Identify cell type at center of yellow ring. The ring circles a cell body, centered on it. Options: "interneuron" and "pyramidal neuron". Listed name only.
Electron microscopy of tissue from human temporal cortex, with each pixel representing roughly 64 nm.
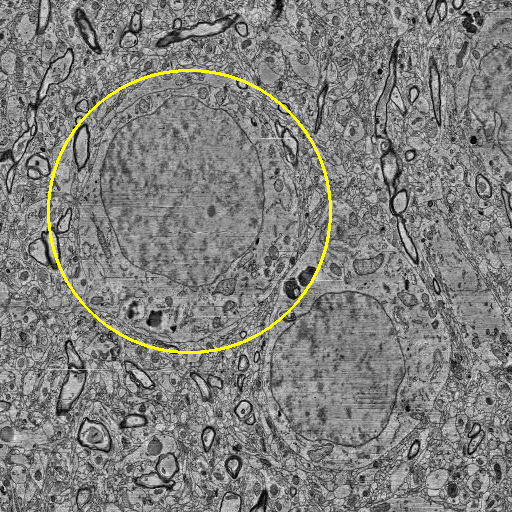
pyramidal neuron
